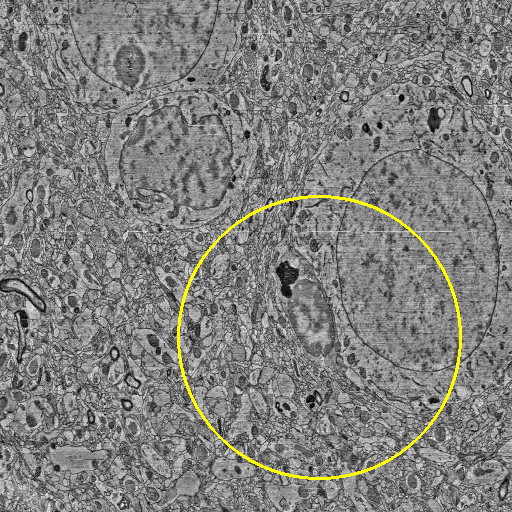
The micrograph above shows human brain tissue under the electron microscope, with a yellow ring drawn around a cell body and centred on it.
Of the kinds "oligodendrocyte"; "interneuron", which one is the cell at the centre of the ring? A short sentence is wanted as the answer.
The one at the centre of the ring is an oligodendrocyte.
